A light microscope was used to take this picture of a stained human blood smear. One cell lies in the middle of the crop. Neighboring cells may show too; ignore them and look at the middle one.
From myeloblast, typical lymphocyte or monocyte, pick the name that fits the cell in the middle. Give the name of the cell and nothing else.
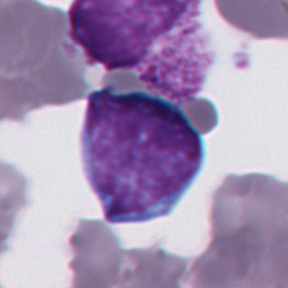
typical lymphocyte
